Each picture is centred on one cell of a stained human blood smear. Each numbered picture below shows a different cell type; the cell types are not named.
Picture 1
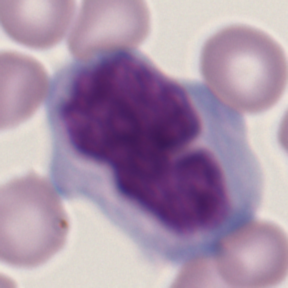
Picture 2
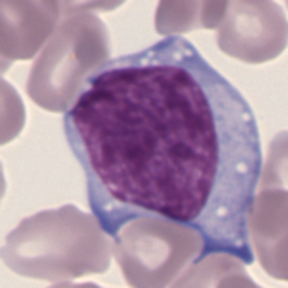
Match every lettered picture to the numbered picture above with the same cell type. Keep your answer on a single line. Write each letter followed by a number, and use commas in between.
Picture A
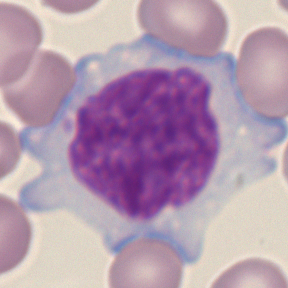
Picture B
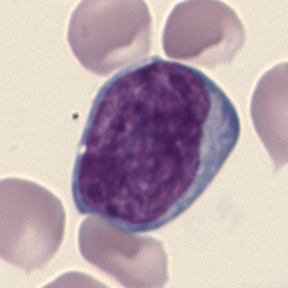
A 2, B 2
